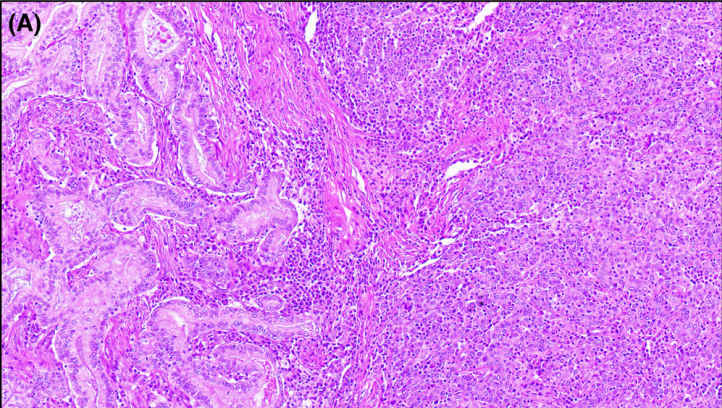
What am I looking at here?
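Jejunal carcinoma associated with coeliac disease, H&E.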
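On the left, columnar tumour cells with elongated, crowded nuclei line irregular, branching glands with pink luminal material. A band of pink fibrous stroma runs diagonally through the middle. On the right, the tumour grows as solid sheets of rounder cells with vesicular nuclei and no glands, with many small dark lymphocytes mixed in and along the edge.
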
